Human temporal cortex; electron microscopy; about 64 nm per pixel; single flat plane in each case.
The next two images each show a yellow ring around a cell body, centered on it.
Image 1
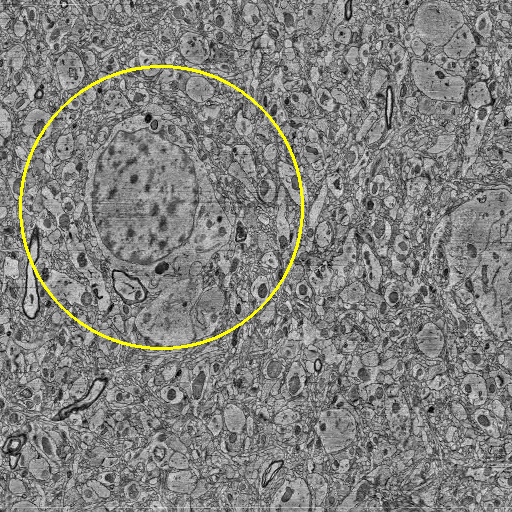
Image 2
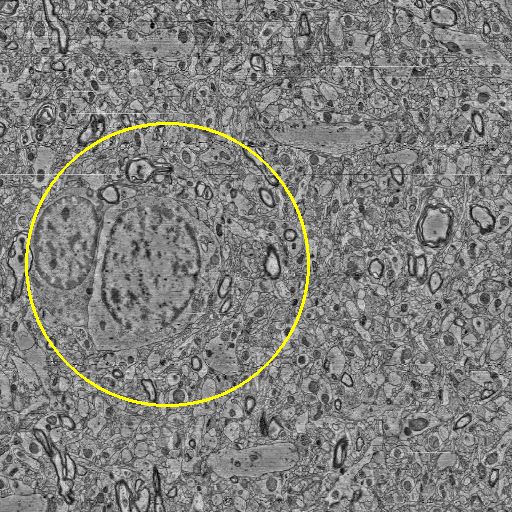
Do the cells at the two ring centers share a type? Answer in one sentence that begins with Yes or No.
Yes, across the two images the cells at the ring centers share one type.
